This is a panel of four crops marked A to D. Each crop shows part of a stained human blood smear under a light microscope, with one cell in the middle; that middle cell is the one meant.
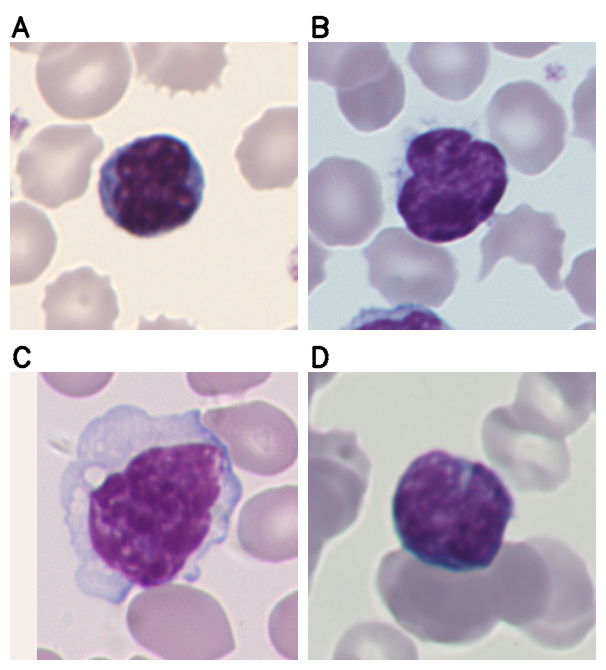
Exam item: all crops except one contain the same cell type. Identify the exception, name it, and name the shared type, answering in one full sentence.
Excluding crop C, which is a myeloblast, the crops all show typical lymphocytes.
